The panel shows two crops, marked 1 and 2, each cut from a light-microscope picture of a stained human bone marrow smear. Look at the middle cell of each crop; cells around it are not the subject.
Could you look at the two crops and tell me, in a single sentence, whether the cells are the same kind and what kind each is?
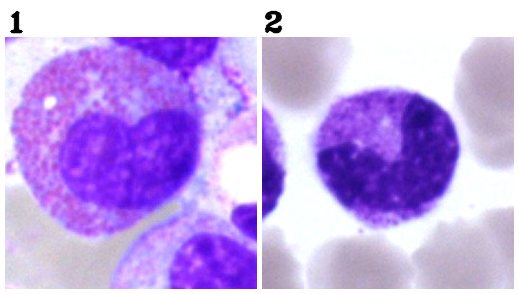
No, crop 1 is the one with an eosinophil; crop 2 has a band neutrophil.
